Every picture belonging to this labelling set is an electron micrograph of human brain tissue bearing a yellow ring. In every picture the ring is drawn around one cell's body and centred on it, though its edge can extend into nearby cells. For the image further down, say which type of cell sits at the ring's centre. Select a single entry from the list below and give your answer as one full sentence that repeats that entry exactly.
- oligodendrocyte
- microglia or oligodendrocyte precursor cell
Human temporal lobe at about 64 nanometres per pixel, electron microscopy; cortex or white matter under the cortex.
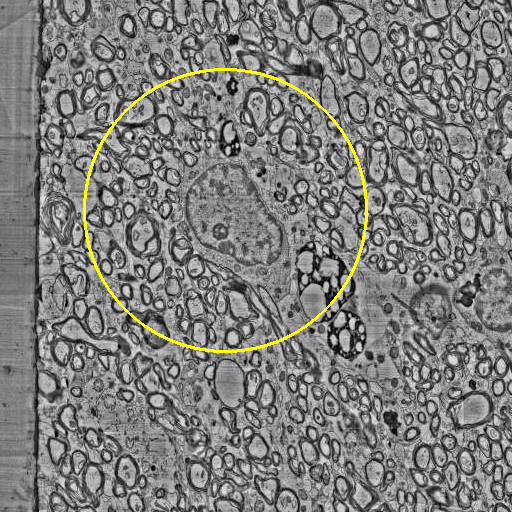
In the picture, an oligodendrocyte is the cell at the centre of the yellow ring.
